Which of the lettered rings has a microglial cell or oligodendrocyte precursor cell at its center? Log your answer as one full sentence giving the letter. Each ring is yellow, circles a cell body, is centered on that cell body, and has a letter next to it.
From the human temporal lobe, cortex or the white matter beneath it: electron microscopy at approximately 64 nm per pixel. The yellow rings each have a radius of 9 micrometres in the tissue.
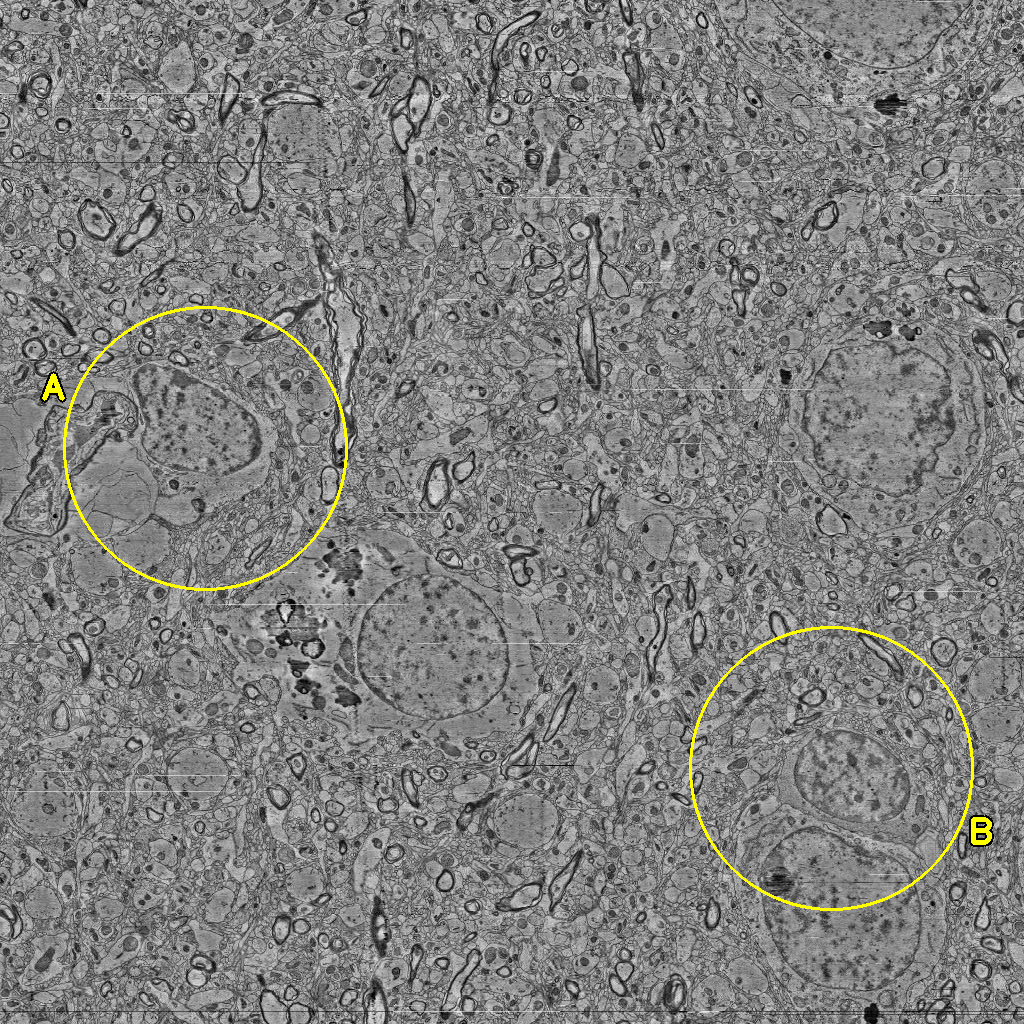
The lettered ring centered on the cell asked for is ring A.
